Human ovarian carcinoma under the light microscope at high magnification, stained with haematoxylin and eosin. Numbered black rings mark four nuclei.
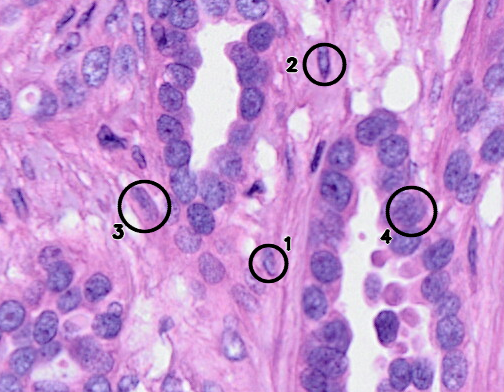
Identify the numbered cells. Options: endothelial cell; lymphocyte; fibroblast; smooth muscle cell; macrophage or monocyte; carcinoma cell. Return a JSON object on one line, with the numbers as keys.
{"1": "fibroblast", "2": "fibroblast", "3": "fibroblast", "4": "carcinoma cell"}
